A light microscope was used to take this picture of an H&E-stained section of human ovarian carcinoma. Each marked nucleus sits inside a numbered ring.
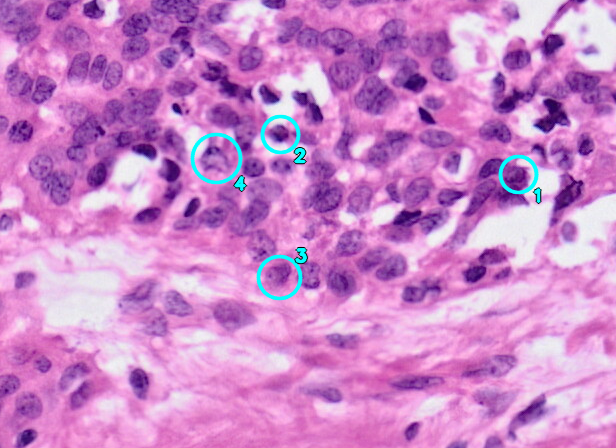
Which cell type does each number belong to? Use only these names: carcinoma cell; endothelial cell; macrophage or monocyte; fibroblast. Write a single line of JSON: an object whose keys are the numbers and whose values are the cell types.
{"1": "carcinoma cell", "2": "carcinoma cell", "3": "carcinoma cell", "4": "macrophage or monocyte"}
